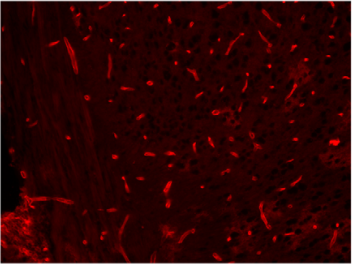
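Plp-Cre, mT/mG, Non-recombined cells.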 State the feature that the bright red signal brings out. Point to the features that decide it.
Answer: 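Bright red short tubes and rings scattered over a dimmer red background. So: vasculature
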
